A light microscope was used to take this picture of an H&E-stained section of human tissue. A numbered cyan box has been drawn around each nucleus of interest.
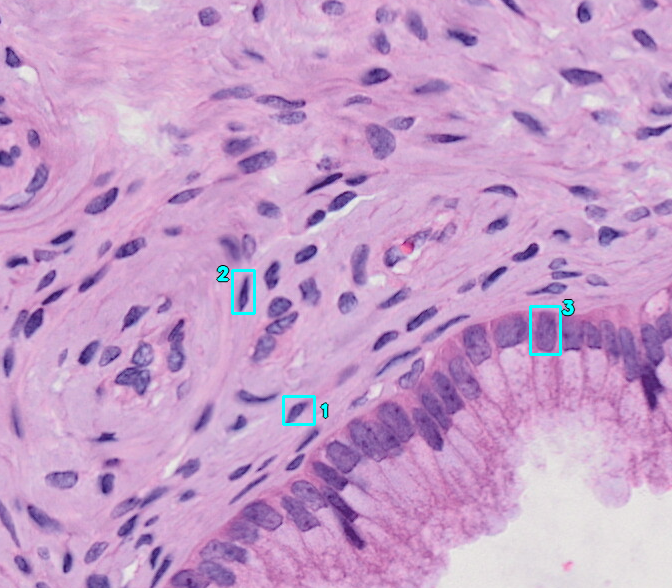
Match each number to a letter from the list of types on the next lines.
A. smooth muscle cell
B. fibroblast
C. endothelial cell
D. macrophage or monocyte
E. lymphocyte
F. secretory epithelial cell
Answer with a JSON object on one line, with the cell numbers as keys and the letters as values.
{"1": "B", "2": "B", "3": "F"}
